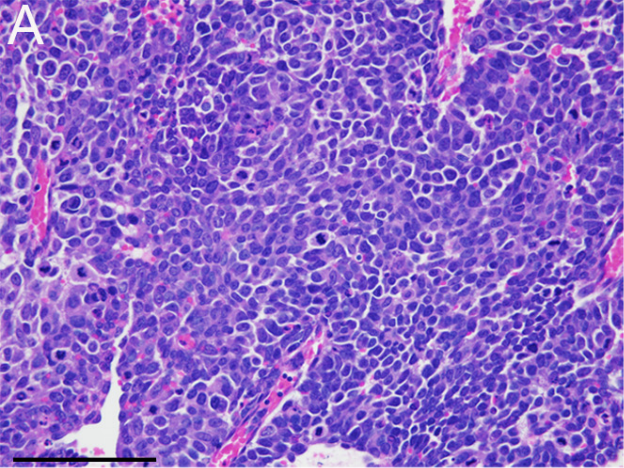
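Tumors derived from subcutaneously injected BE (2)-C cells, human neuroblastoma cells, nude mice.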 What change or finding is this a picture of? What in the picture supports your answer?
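Tumor cells are packed tightly in sheets with almost no stroma between them. Only thin vessels separate the cell sheets. On this evidence: dense cellularity.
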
